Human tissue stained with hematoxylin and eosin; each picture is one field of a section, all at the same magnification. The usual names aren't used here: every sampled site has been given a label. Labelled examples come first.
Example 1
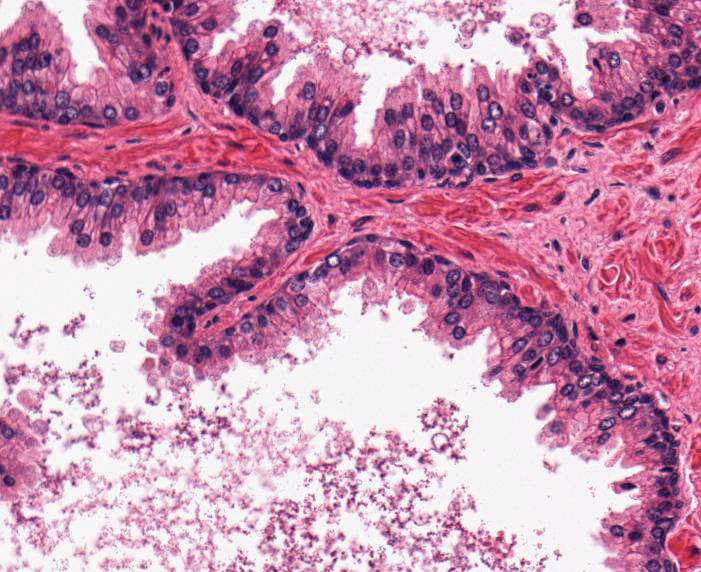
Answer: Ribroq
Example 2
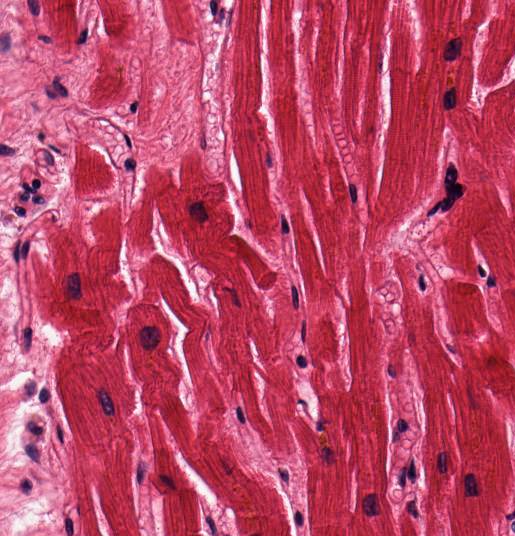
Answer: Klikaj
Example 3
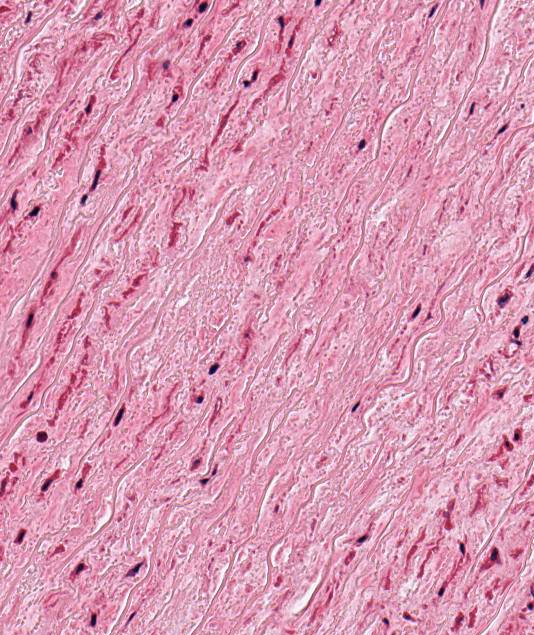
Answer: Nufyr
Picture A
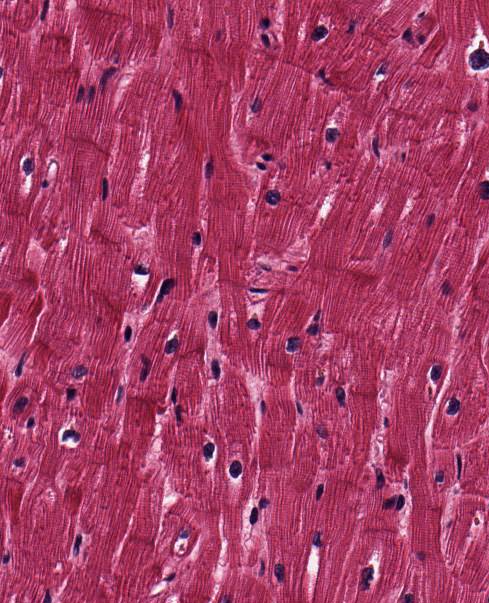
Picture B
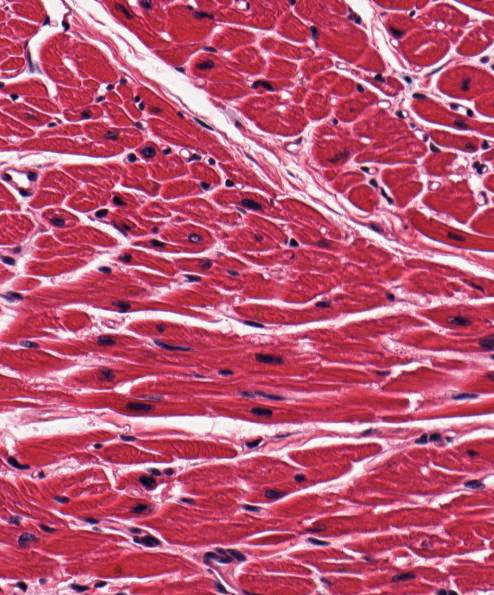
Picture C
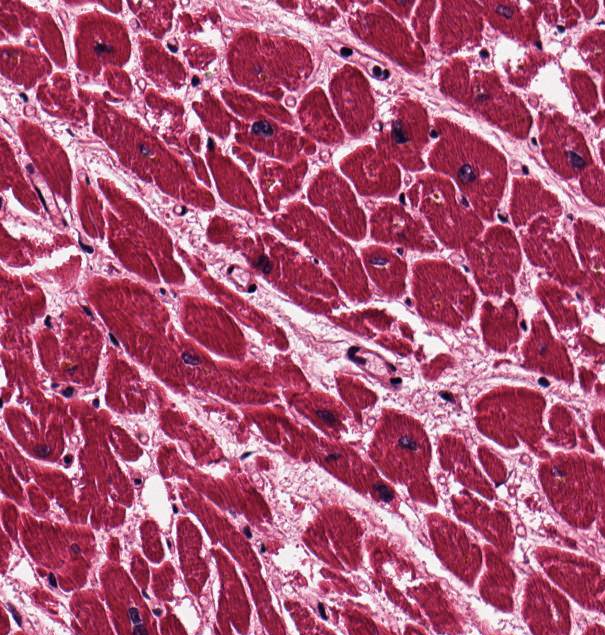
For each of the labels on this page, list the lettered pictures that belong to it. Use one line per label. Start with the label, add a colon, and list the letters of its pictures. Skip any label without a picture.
Klikaj: A, B, C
